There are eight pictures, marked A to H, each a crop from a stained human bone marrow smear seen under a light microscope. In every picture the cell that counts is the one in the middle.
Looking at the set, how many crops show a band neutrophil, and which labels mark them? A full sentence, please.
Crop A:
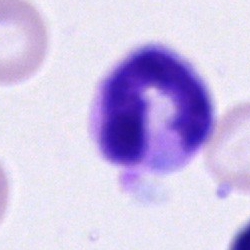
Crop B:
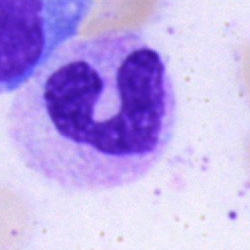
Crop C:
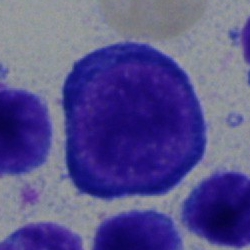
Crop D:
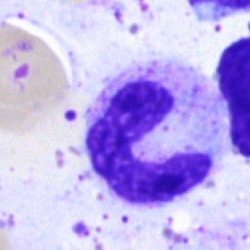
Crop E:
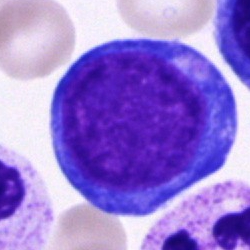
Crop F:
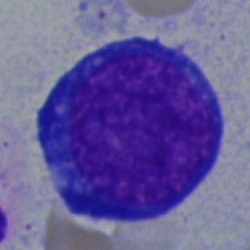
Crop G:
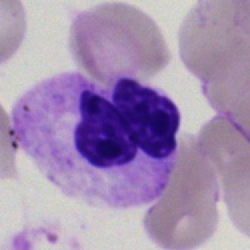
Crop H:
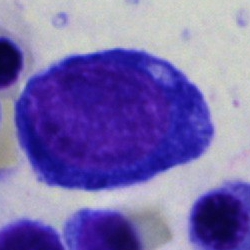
Found in crops A, B and D, the band neutrophils account for three crops.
